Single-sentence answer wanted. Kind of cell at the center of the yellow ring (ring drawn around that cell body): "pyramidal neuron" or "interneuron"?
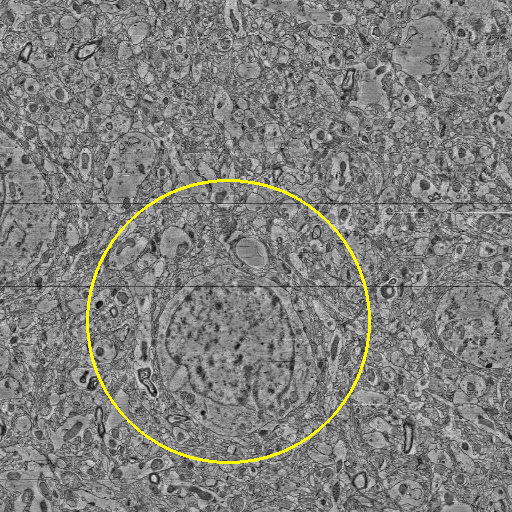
The cell centered in the ring is an interneuron.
